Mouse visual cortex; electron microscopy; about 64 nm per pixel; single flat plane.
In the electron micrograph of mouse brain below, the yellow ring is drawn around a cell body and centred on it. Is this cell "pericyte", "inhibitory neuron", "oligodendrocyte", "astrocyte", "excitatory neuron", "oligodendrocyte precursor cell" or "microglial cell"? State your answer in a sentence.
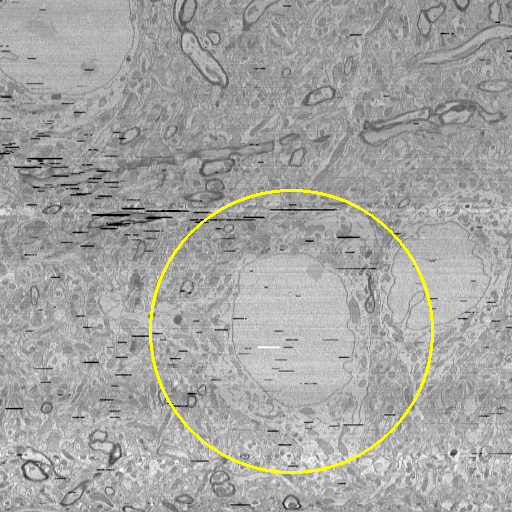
The cell in the middle of the ring is an excitatory neuron.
